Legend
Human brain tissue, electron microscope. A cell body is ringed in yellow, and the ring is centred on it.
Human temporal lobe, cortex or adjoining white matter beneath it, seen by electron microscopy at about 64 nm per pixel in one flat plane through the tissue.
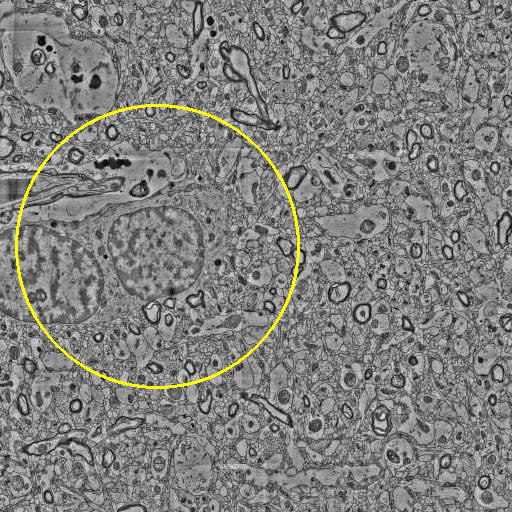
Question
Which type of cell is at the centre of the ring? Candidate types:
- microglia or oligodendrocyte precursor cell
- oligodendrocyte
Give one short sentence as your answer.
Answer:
The yellow ring is centred here on an oligodendrocyte.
